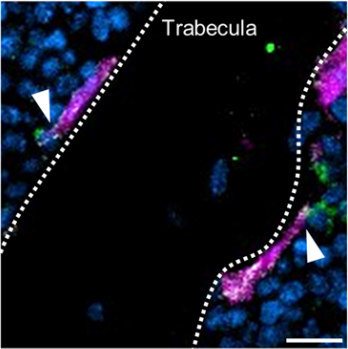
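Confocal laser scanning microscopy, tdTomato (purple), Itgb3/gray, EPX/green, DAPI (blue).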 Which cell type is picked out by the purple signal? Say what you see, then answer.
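Osteoclasts. Elongated purple cells are pressed against the dotted trabecular surface. The purple cells are much larger than the surrounding round nuclei.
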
